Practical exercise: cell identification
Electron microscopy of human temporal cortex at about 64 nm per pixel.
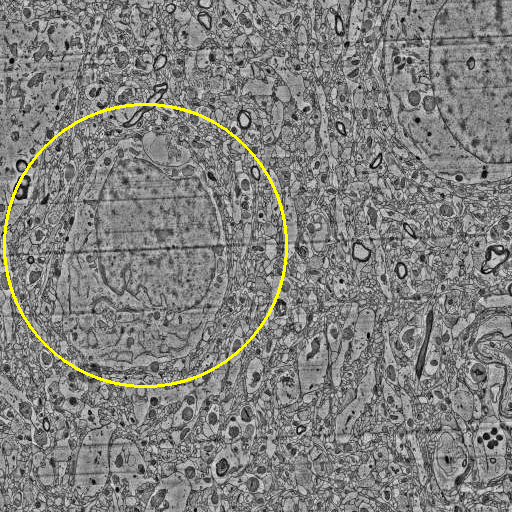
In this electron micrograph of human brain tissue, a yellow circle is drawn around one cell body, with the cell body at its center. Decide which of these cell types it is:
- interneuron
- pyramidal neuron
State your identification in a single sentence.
The ringed cell is an interneuron.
